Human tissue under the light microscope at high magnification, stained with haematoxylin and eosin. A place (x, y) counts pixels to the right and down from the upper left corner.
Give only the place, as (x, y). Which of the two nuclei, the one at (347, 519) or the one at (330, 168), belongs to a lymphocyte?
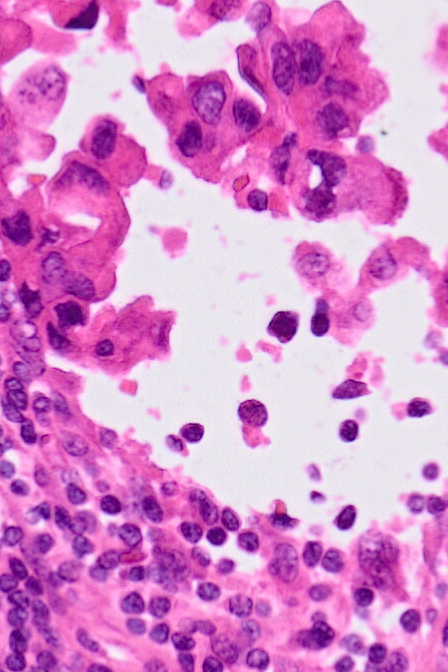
(347, 519)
